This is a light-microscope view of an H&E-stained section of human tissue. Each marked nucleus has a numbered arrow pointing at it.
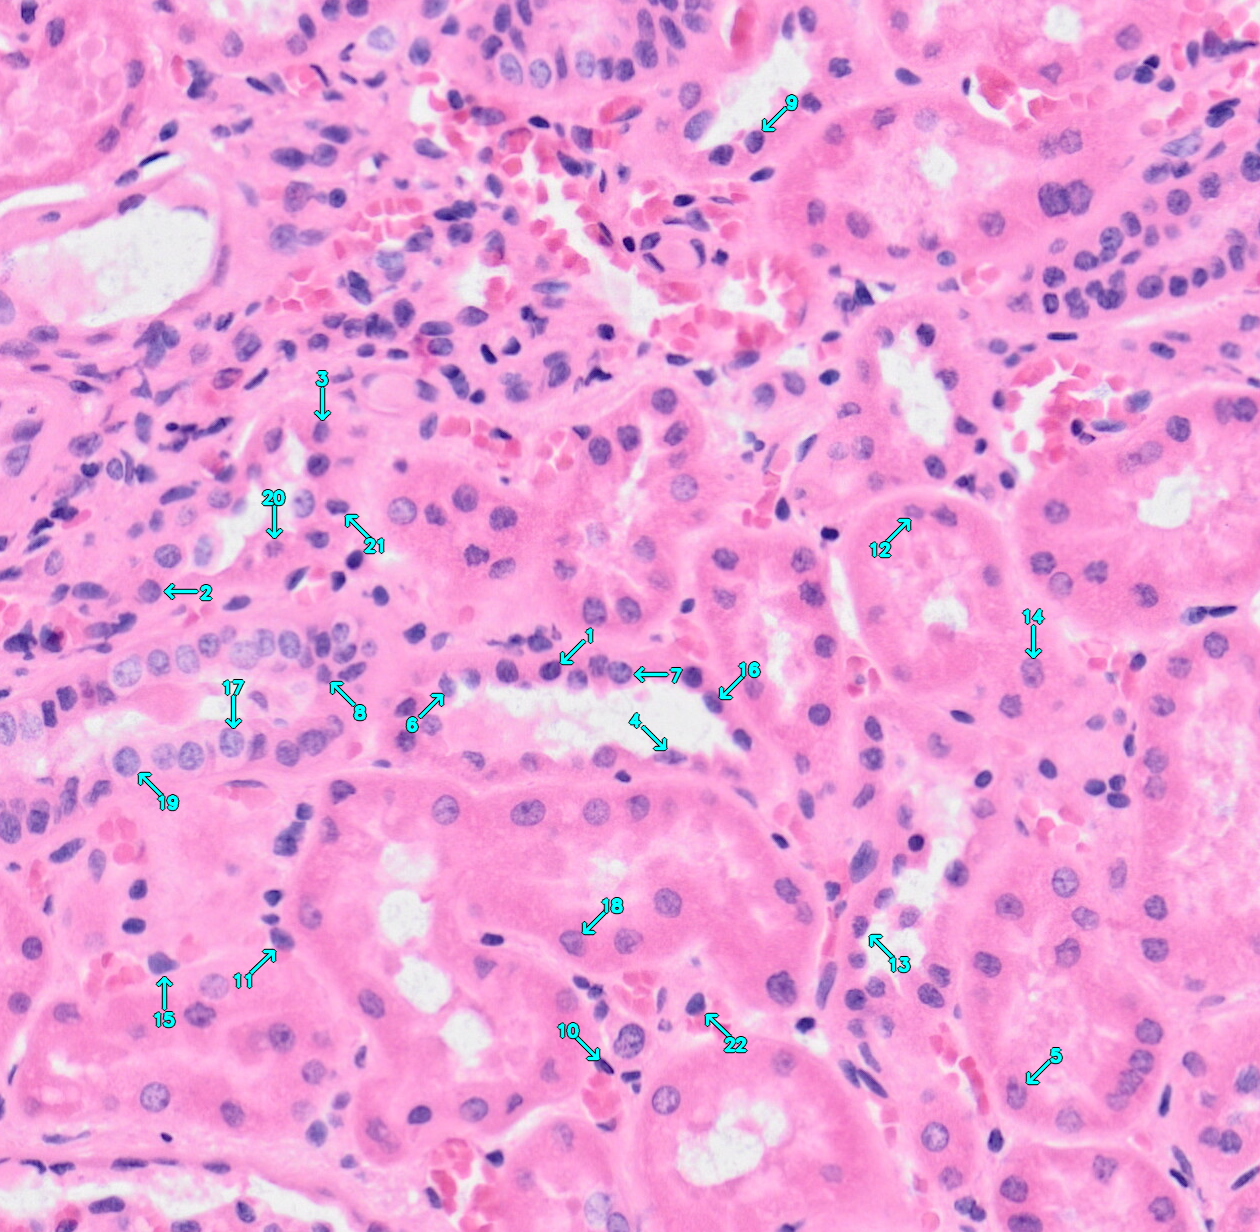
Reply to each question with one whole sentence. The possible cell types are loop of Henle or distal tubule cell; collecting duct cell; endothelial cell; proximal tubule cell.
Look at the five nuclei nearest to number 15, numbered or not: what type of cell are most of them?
Proximal tubule cells make up most of the five nuclei closest to number 15.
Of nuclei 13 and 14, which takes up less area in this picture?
With nucleus 14 about 2 times its size, nucleus 13 is the smaller of the two.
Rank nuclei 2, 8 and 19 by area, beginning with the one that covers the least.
From smallest to largest, the order is 8, 2, 19.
